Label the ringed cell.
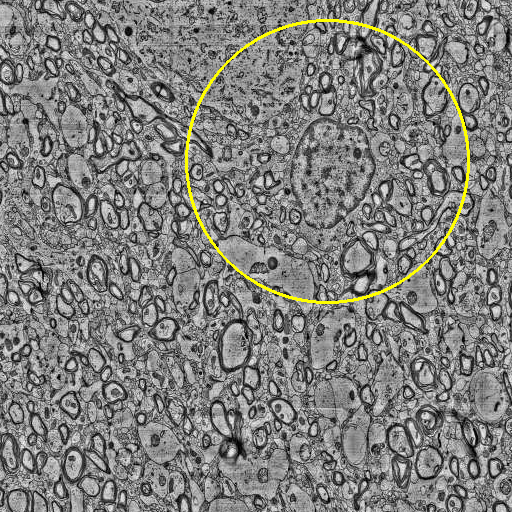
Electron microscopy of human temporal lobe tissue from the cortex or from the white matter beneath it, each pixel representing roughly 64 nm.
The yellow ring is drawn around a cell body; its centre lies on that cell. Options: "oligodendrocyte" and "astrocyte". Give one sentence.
The ringed cell is an oligodendrocyte.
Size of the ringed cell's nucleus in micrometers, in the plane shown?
In this plane, the nucleus of the cell at the centre of the ring measures about 7 by 5 micrometres.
